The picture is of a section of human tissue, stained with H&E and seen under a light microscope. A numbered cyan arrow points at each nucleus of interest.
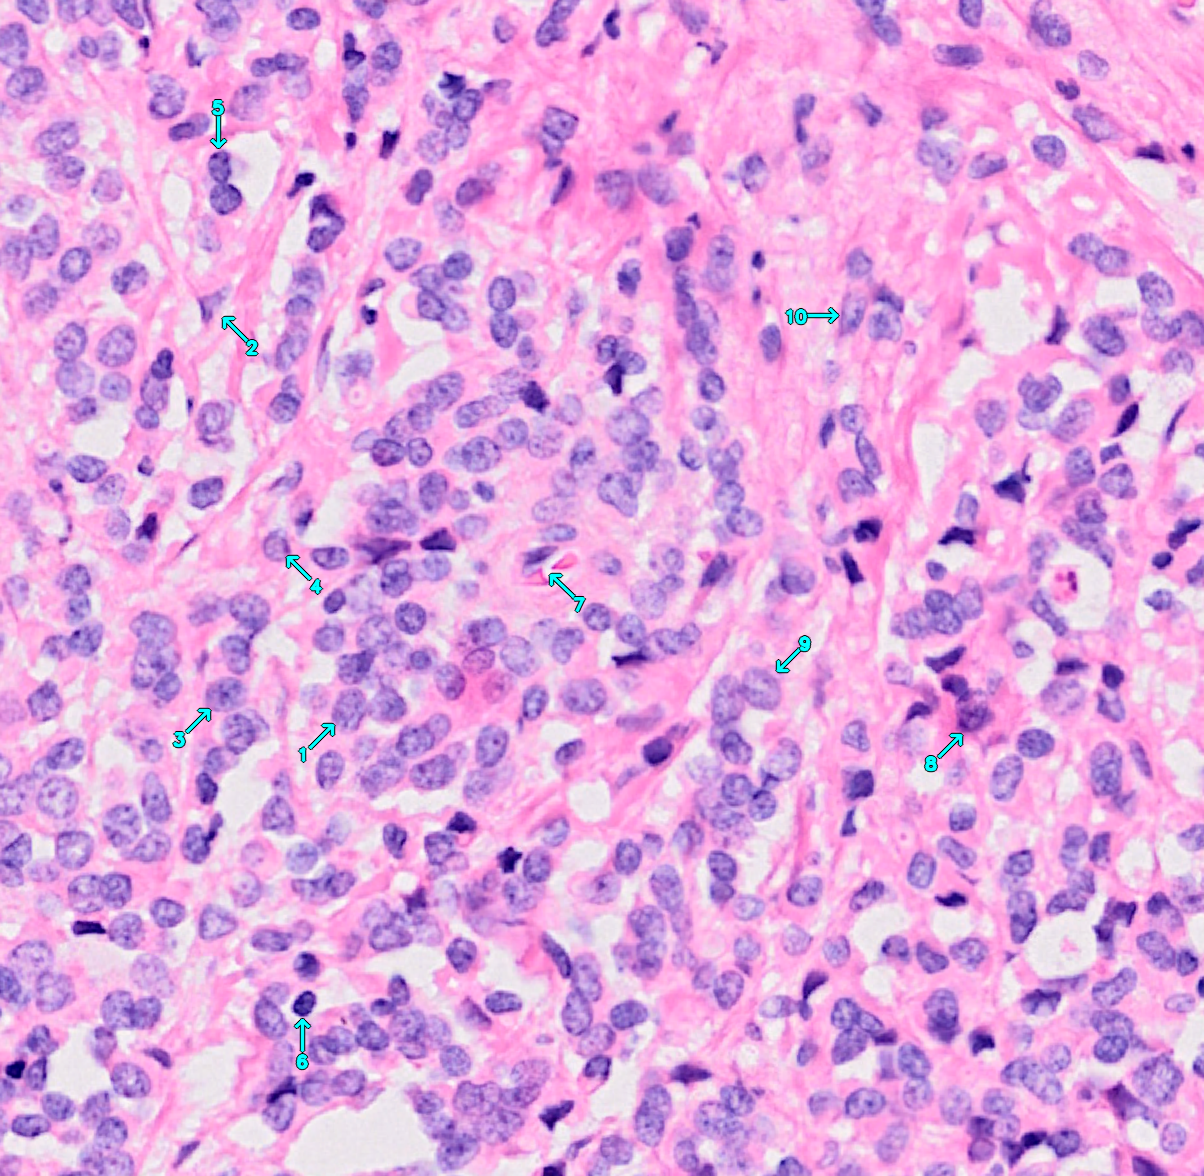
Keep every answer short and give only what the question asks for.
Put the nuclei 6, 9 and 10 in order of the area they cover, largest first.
9, 10, 6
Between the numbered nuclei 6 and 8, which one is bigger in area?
8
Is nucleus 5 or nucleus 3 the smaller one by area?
5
